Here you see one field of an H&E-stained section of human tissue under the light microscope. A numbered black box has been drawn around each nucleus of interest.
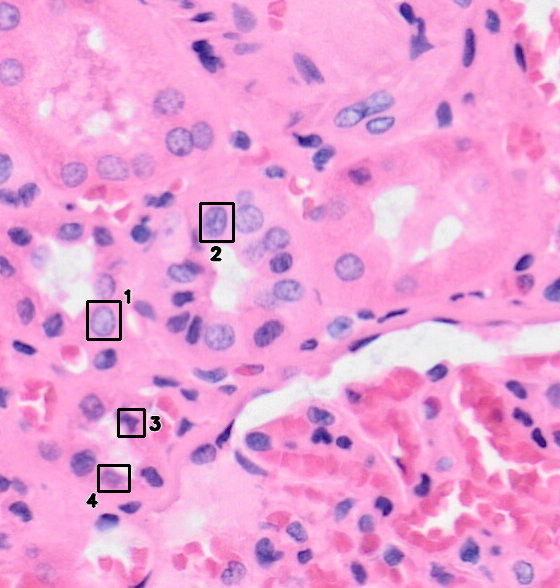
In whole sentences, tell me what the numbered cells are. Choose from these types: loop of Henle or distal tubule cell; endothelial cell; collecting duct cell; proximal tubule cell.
Cells 1, 3 and 4 are loop of Henle or distal tubule cells. Cell 2 is a collecting duct cell.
